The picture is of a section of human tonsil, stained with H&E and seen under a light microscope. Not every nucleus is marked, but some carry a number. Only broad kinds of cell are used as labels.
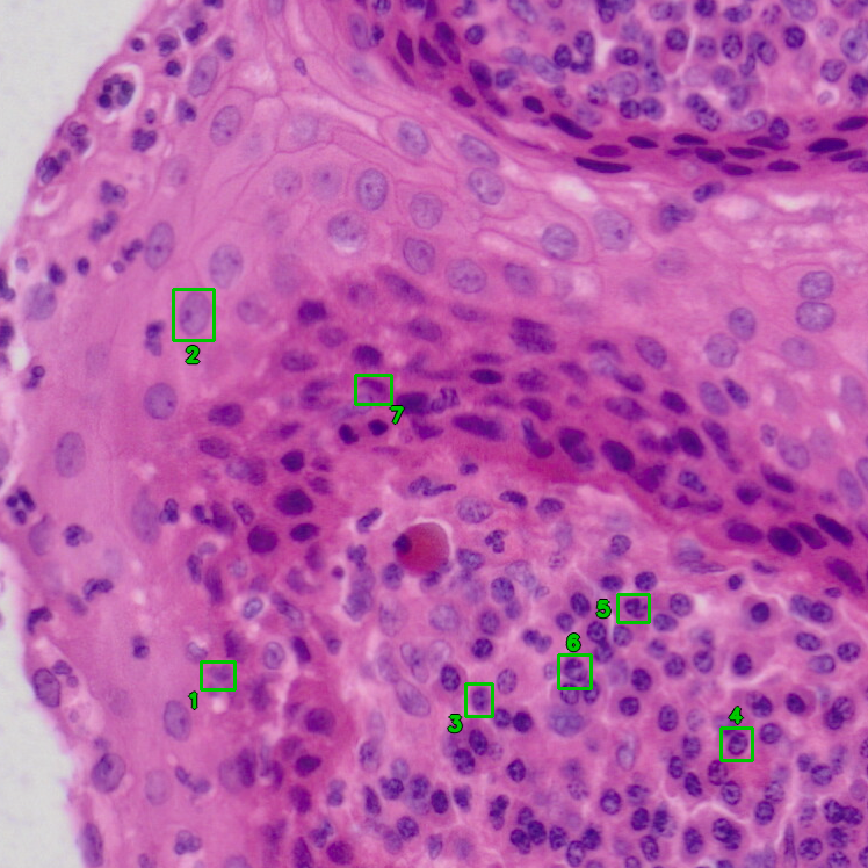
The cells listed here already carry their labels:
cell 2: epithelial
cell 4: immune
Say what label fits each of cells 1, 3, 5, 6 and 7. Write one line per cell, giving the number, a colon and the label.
1: epithelial
3: immune
5: immune
6: immune
7: epithelial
